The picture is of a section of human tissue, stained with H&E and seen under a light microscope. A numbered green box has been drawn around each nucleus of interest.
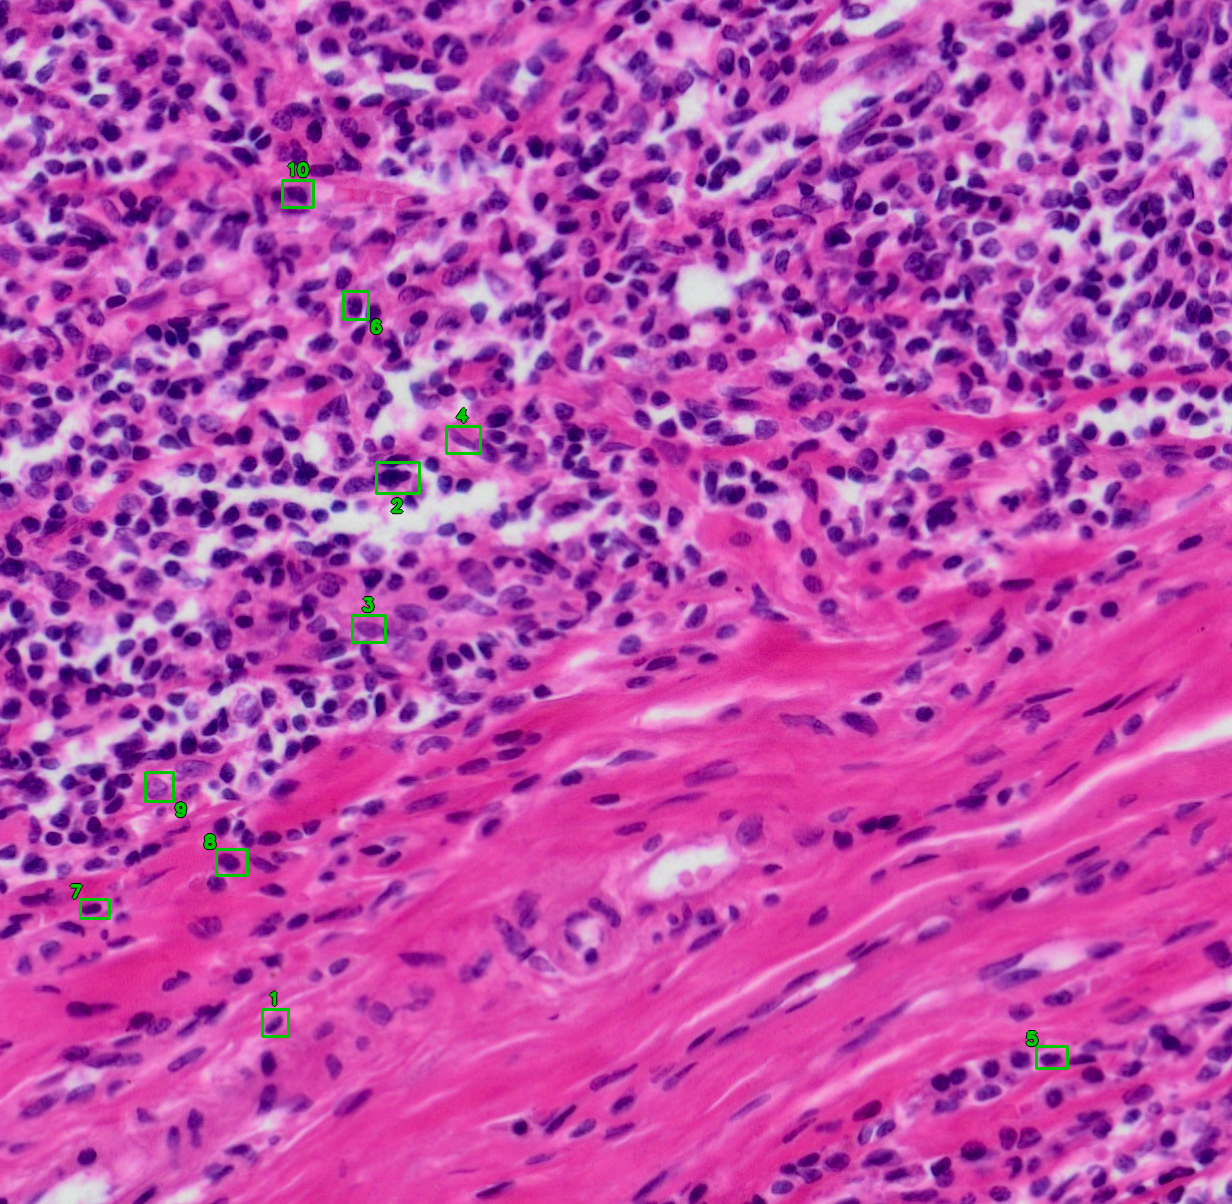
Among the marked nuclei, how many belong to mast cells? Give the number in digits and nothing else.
4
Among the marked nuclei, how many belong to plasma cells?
1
